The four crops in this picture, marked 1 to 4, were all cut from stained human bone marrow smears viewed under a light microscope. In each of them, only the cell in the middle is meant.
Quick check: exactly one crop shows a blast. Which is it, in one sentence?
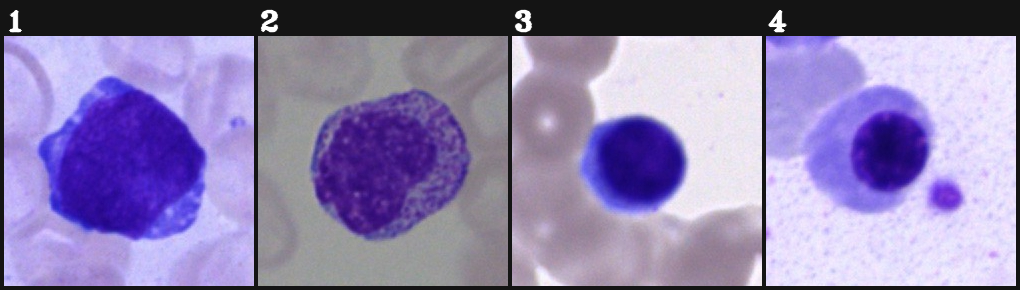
Selected crop: 1, which is the one that shows a blast.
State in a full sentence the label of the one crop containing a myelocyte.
Look at crop 2; that is the one with a myelocyte in its center.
